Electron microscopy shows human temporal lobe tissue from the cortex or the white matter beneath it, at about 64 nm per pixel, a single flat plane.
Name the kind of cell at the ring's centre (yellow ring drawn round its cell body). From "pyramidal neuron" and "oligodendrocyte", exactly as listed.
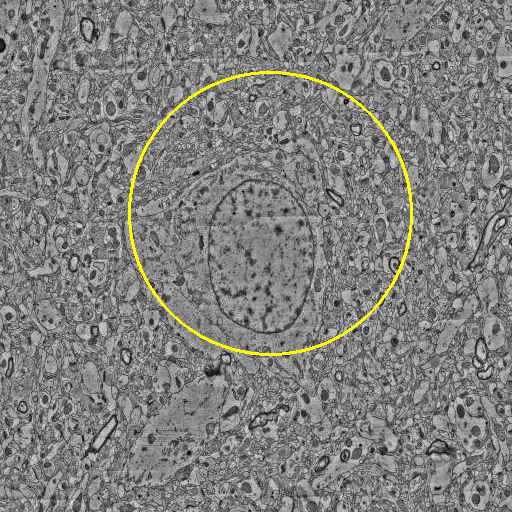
pyramidal neuron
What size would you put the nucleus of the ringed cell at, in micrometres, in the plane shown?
In this plane the nucleus measures roughly 10 by 7 micrometres.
